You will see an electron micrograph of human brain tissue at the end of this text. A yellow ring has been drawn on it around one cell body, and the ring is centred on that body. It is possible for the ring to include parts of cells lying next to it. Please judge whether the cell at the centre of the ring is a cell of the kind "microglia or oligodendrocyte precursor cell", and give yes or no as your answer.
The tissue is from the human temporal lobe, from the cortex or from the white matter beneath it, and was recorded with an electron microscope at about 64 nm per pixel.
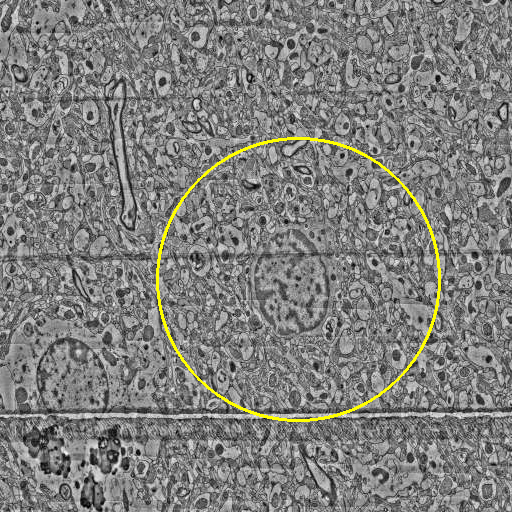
no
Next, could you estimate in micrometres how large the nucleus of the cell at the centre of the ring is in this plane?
About 7 micrometres by about 5 micrometres in this plane.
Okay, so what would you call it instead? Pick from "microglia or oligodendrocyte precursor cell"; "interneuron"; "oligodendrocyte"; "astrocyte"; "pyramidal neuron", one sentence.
The cell at the middle of the ring is an oligodendrocyte.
